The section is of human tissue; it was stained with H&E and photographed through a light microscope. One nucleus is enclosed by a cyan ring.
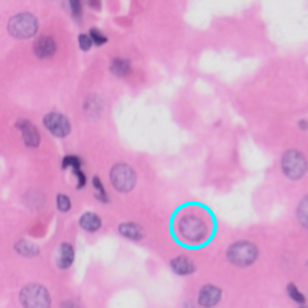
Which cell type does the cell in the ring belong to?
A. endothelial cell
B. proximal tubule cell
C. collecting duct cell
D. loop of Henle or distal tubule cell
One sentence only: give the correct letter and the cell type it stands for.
In this case the cell in the ring is a proximal tubule cell, so option B is correct.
